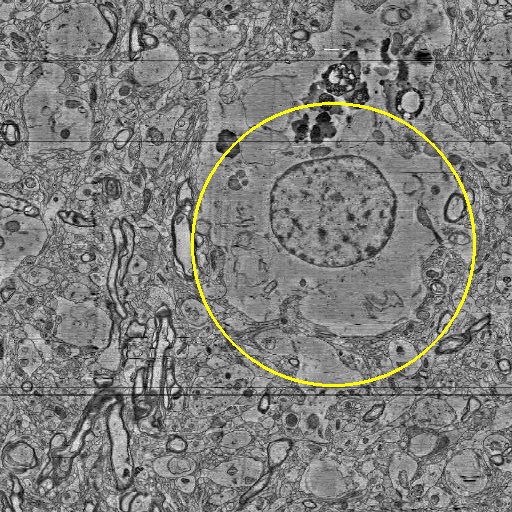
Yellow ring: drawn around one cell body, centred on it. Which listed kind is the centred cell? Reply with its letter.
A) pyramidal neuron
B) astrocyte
B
